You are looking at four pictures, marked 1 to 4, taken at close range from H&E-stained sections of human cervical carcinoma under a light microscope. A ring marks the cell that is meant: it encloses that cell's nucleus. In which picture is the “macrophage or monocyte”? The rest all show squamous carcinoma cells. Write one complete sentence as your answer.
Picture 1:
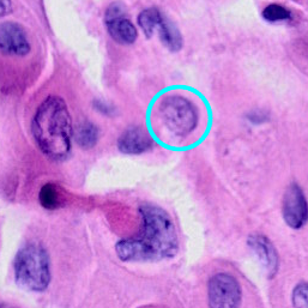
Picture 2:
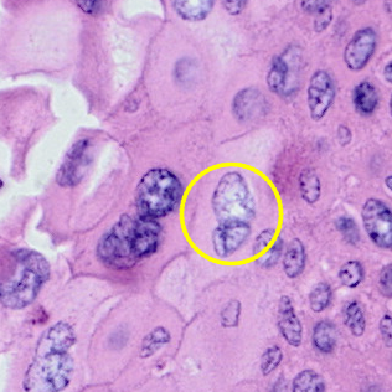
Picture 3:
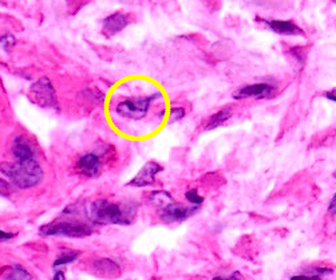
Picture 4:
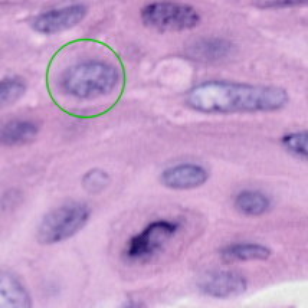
The “macrophage or monocyte” is the one in picture 3.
